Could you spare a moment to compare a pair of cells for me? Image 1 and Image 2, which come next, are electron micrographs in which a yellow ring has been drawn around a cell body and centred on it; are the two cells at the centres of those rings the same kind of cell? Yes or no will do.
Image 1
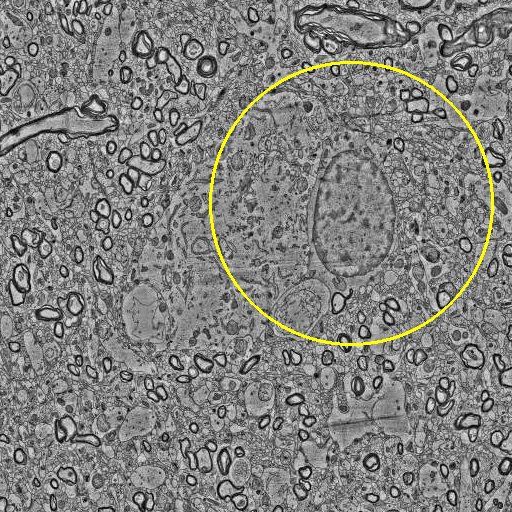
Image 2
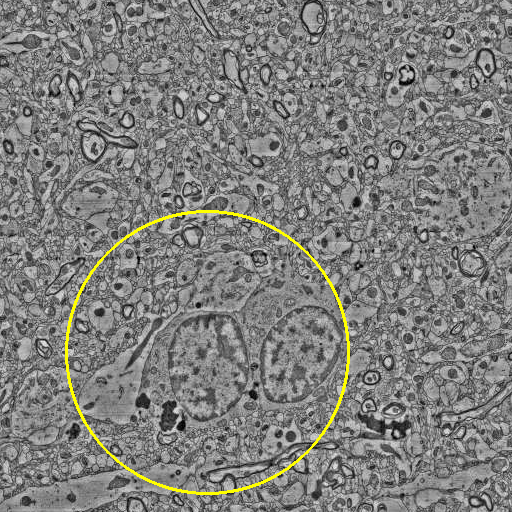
yes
